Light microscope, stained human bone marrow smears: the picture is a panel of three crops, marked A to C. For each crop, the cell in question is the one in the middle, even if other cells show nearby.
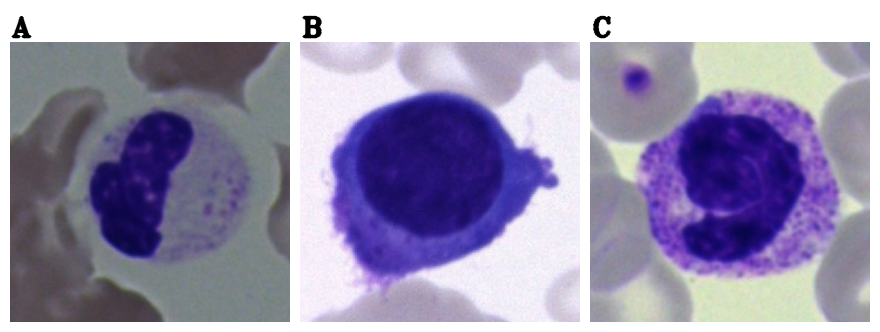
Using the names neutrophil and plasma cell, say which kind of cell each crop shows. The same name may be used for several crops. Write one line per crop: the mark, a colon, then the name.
A: neutrophil
B: plasma cell
C: neutrophil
